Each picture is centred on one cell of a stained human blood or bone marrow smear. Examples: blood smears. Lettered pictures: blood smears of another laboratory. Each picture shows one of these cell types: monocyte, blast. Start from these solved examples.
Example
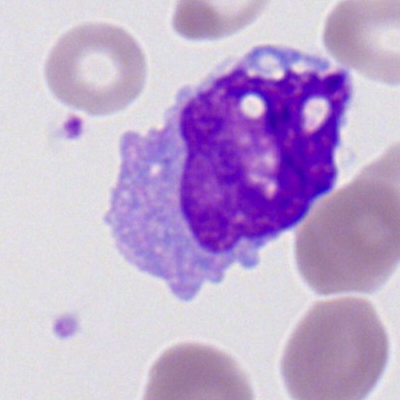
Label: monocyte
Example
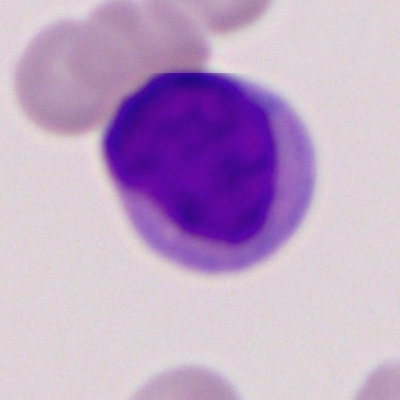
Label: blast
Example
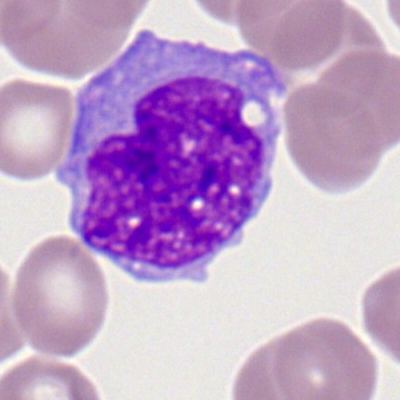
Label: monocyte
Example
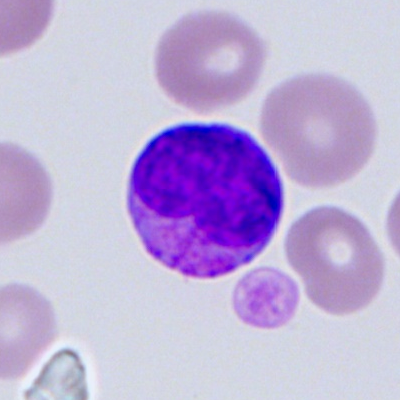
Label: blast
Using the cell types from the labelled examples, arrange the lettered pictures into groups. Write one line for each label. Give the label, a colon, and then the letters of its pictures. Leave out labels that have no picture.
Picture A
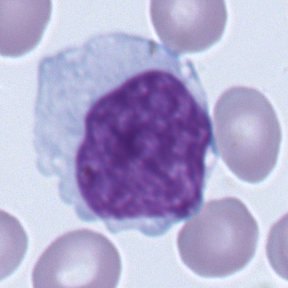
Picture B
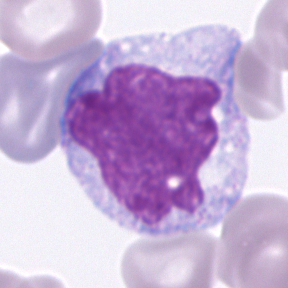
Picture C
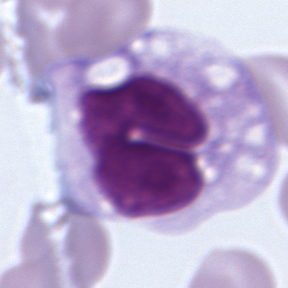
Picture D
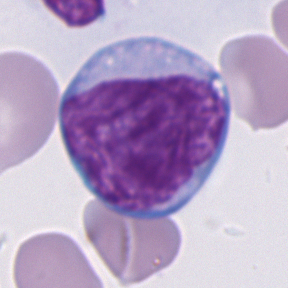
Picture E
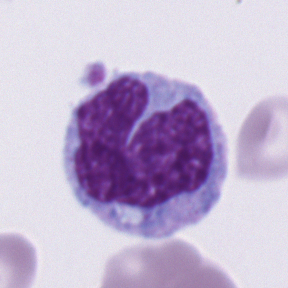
monocyte: B, C, E
blast: A, D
